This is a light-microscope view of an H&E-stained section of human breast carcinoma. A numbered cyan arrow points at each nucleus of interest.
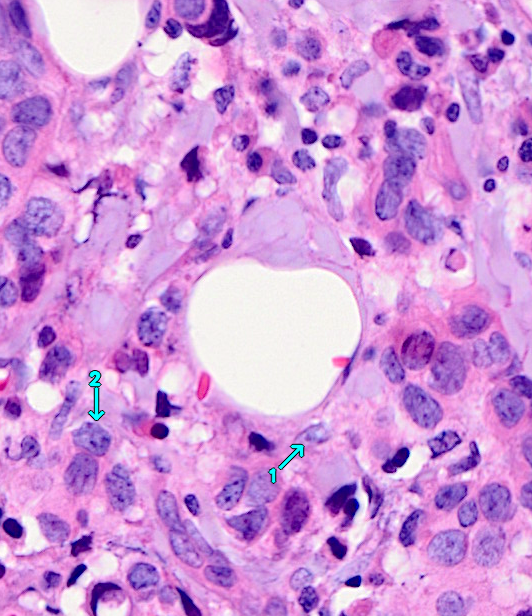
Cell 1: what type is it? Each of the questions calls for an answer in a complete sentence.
Numbered cell 1 is a fibroblast in this tissue section.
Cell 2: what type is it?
The correct label for cell 2 is a carcinoma cell.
